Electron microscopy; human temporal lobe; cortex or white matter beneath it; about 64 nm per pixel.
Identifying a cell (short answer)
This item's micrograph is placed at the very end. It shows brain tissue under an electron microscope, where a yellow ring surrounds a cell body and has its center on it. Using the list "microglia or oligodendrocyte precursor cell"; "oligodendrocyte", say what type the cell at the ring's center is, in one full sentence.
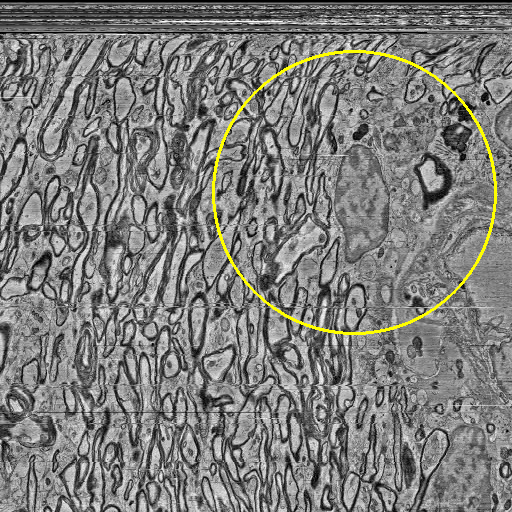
This picture shows a microglial cell or oligodendrocyte precursor cell at the center of the yellow ring drawn on it.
